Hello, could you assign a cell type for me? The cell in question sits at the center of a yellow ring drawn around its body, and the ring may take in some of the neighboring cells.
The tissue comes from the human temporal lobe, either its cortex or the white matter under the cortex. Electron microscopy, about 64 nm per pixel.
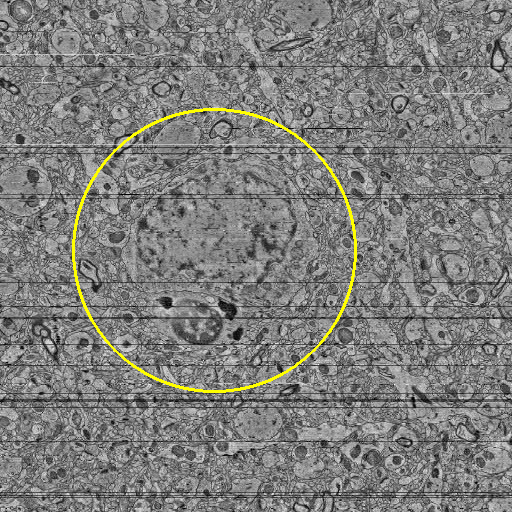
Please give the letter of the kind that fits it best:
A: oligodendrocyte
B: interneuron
B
